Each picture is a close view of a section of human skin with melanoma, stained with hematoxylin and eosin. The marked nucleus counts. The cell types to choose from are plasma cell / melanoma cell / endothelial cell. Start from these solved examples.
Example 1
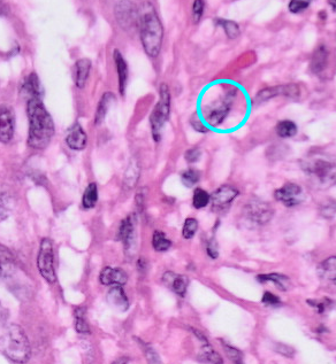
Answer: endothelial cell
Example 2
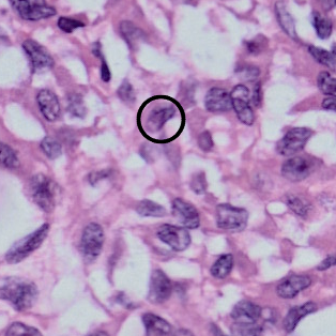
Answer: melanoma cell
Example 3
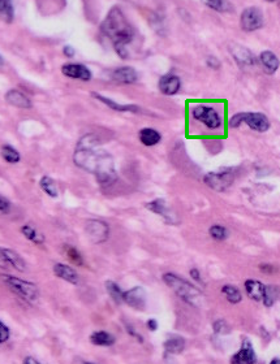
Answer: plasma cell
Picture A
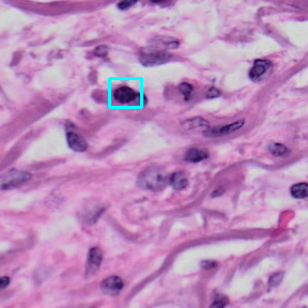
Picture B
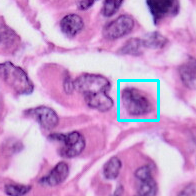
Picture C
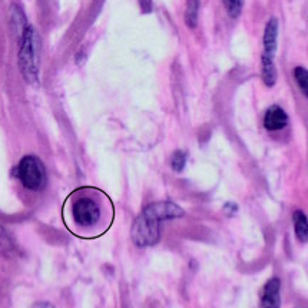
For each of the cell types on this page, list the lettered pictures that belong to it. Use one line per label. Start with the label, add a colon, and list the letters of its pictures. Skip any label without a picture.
plasma cell: A, C
melanoma cell: B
